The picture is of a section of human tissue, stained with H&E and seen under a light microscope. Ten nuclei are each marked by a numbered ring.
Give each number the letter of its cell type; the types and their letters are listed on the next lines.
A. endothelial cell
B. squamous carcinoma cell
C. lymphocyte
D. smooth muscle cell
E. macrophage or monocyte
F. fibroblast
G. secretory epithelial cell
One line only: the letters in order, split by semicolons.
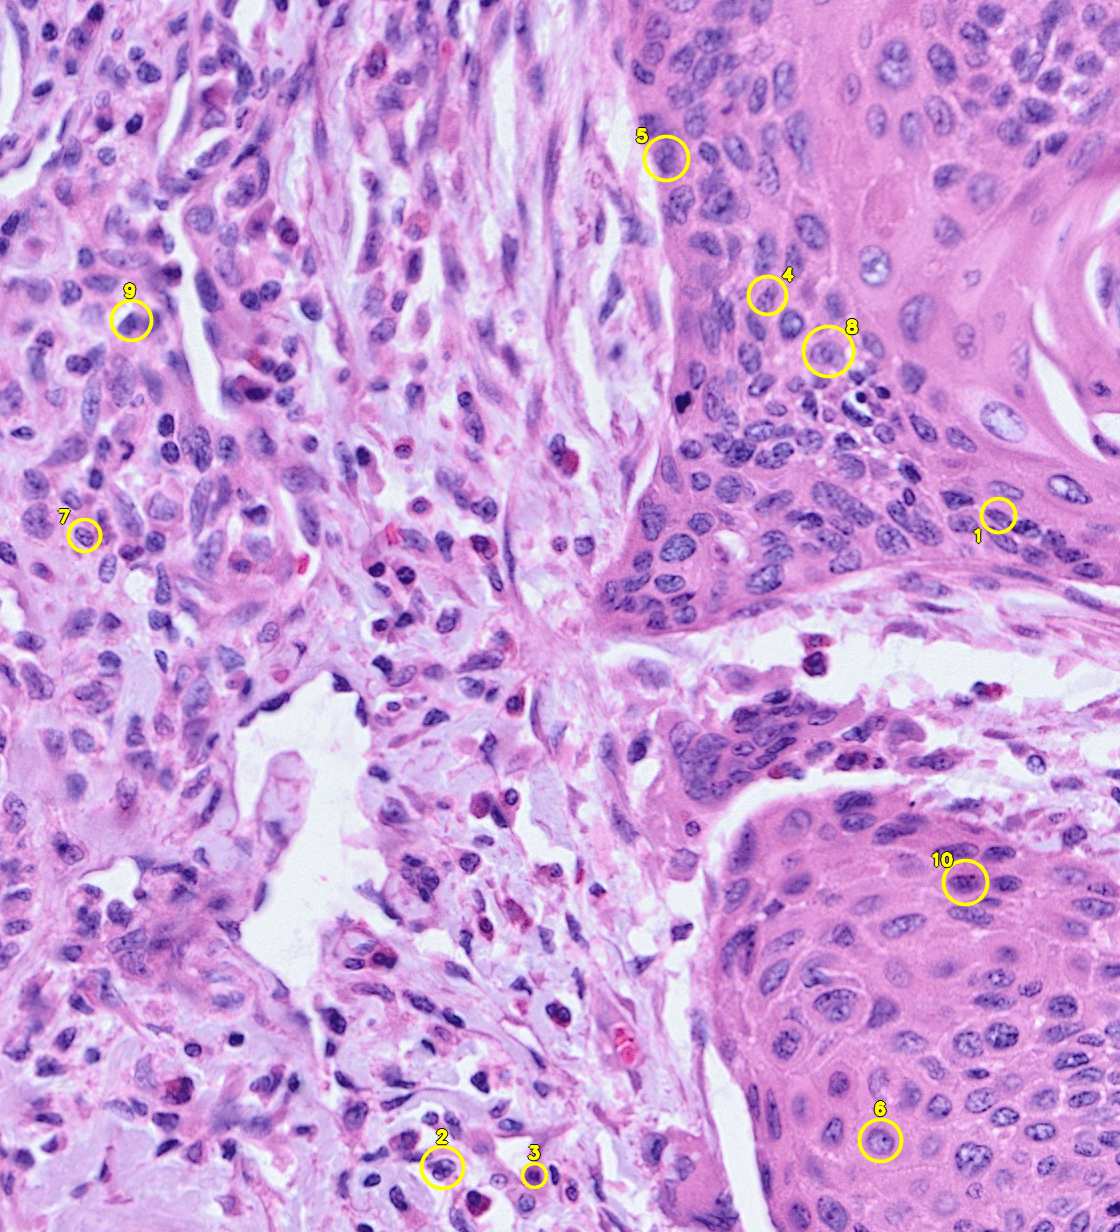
B; C; A; B; B; B; C; B; C; B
